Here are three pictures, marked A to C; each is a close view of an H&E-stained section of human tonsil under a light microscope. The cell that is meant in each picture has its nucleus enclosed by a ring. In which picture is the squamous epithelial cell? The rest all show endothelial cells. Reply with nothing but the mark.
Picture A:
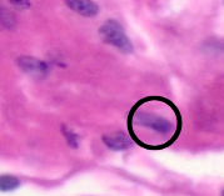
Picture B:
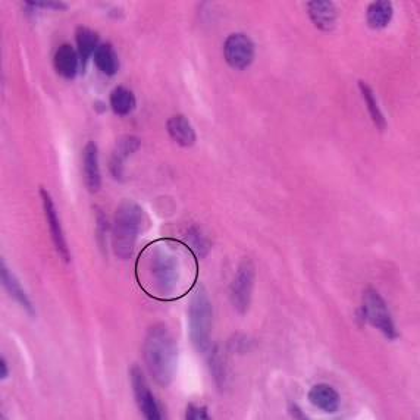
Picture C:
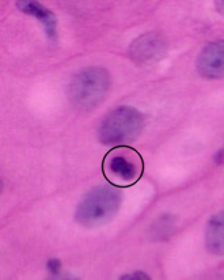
C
